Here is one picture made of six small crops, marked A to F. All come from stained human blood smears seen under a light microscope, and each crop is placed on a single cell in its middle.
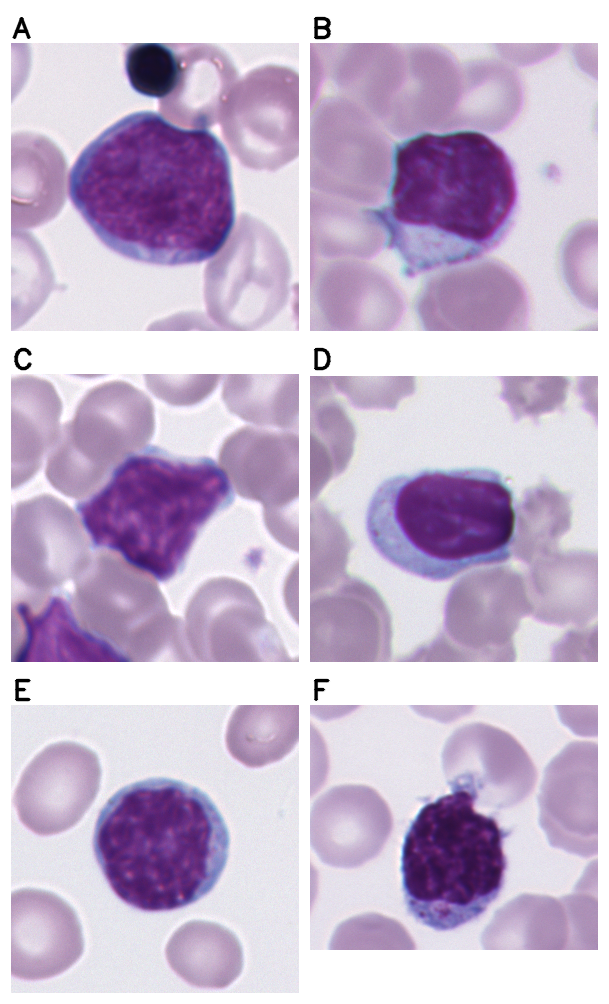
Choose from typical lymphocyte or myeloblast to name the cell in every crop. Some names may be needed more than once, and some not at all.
A: myeloblast
B: typical lymphocyte
C: typical lymphocyte
D: typical lymphocyte
E: myeloblast
F: typical lymphocyte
